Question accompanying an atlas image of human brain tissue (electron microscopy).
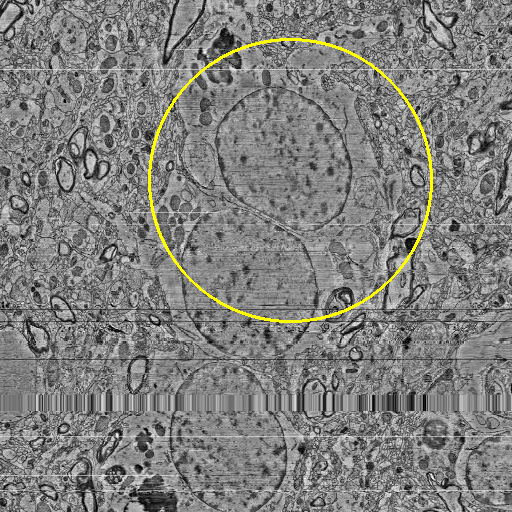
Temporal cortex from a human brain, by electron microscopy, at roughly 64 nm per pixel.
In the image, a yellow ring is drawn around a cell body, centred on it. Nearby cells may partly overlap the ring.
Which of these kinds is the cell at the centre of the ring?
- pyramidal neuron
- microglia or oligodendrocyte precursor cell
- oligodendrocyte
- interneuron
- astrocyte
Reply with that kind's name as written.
astrocyte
